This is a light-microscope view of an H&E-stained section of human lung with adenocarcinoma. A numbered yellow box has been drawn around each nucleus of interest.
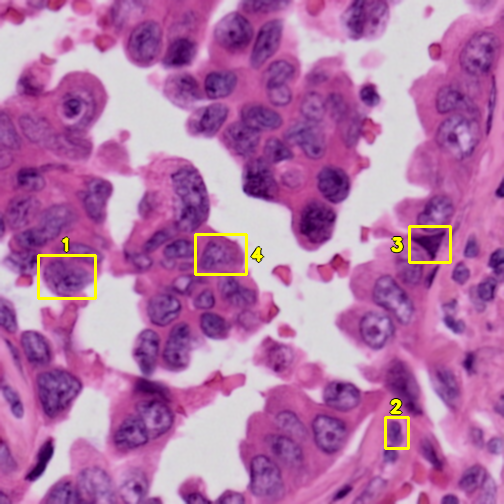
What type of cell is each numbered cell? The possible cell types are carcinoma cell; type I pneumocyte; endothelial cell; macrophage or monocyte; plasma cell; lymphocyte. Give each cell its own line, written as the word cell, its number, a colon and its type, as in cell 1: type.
cell 1: carcinoma cell
cell 2: lymphocyte
cell 3: carcinoma cell
cell 4: carcinoma cell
